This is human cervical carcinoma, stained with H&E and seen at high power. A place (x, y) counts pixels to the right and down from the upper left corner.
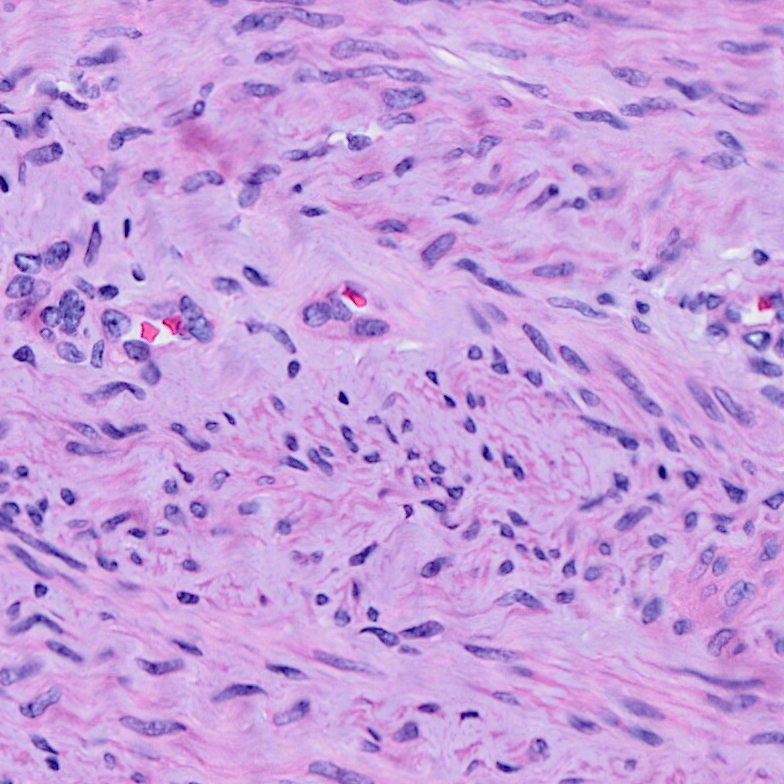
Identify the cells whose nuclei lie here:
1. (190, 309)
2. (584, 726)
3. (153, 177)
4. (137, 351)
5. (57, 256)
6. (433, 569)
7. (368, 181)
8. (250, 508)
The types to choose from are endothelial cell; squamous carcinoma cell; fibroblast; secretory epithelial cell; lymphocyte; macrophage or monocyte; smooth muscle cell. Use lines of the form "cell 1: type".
cell 1: endothelial cell
cell 2: smooth muscle cell
cell 3: smooth muscle cell
cell 4: endothelial cell
cell 5: endothelial cell
cell 6: smooth muscle cell
cell 7: smooth muscle cell
cell 8: smooth muscle cell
